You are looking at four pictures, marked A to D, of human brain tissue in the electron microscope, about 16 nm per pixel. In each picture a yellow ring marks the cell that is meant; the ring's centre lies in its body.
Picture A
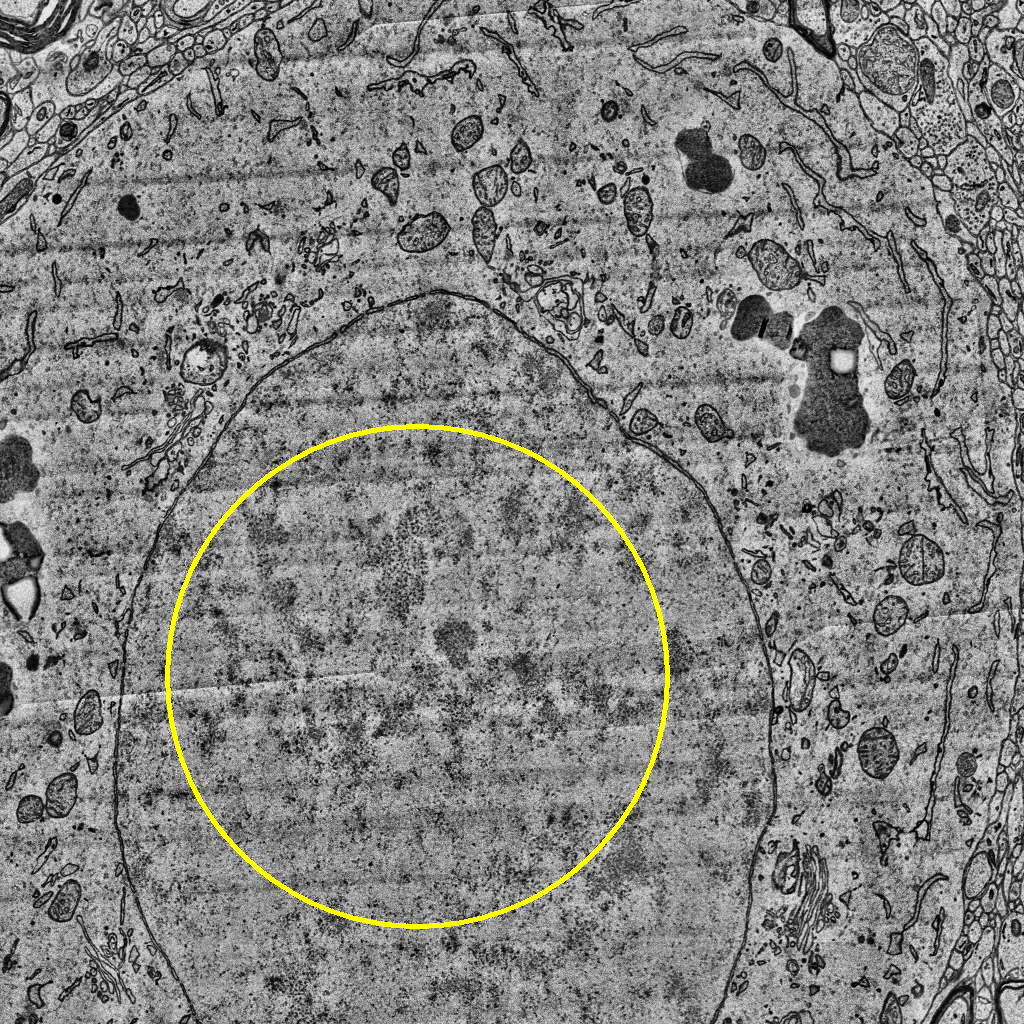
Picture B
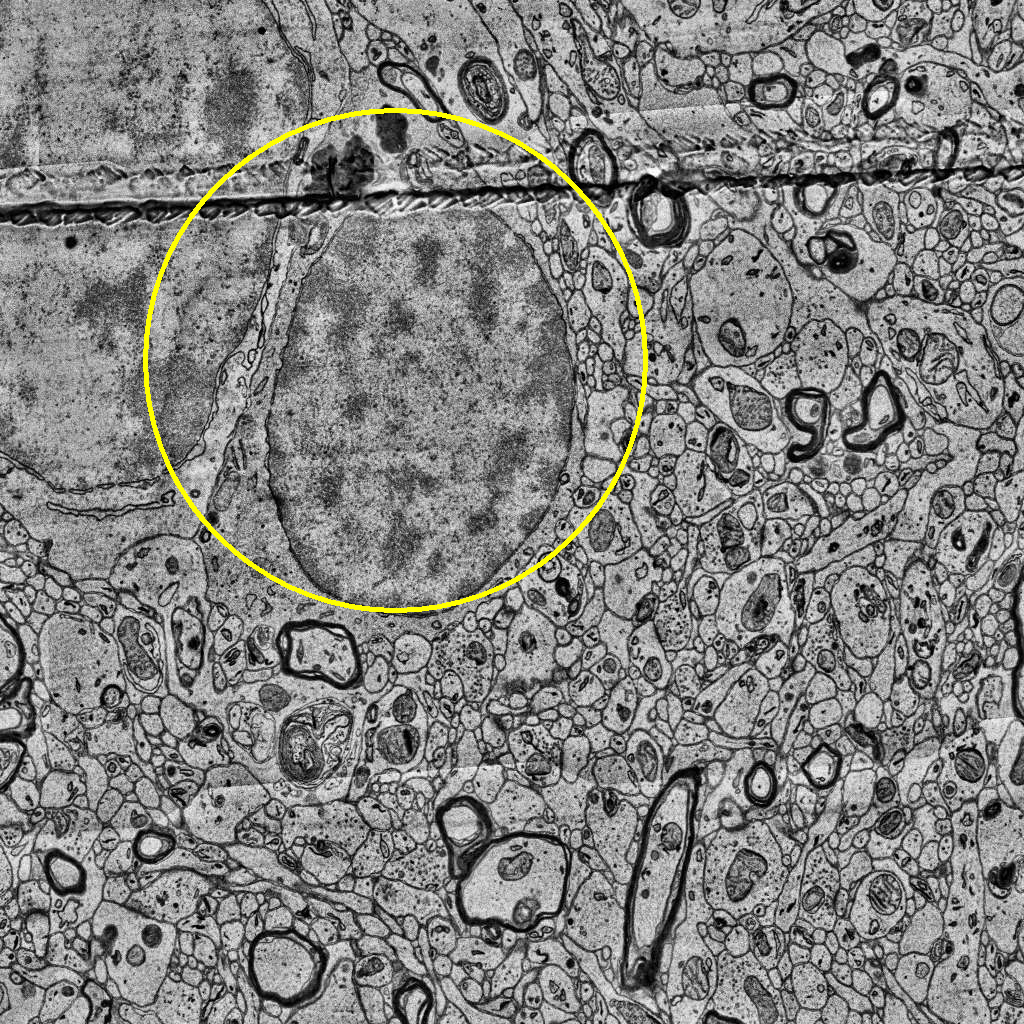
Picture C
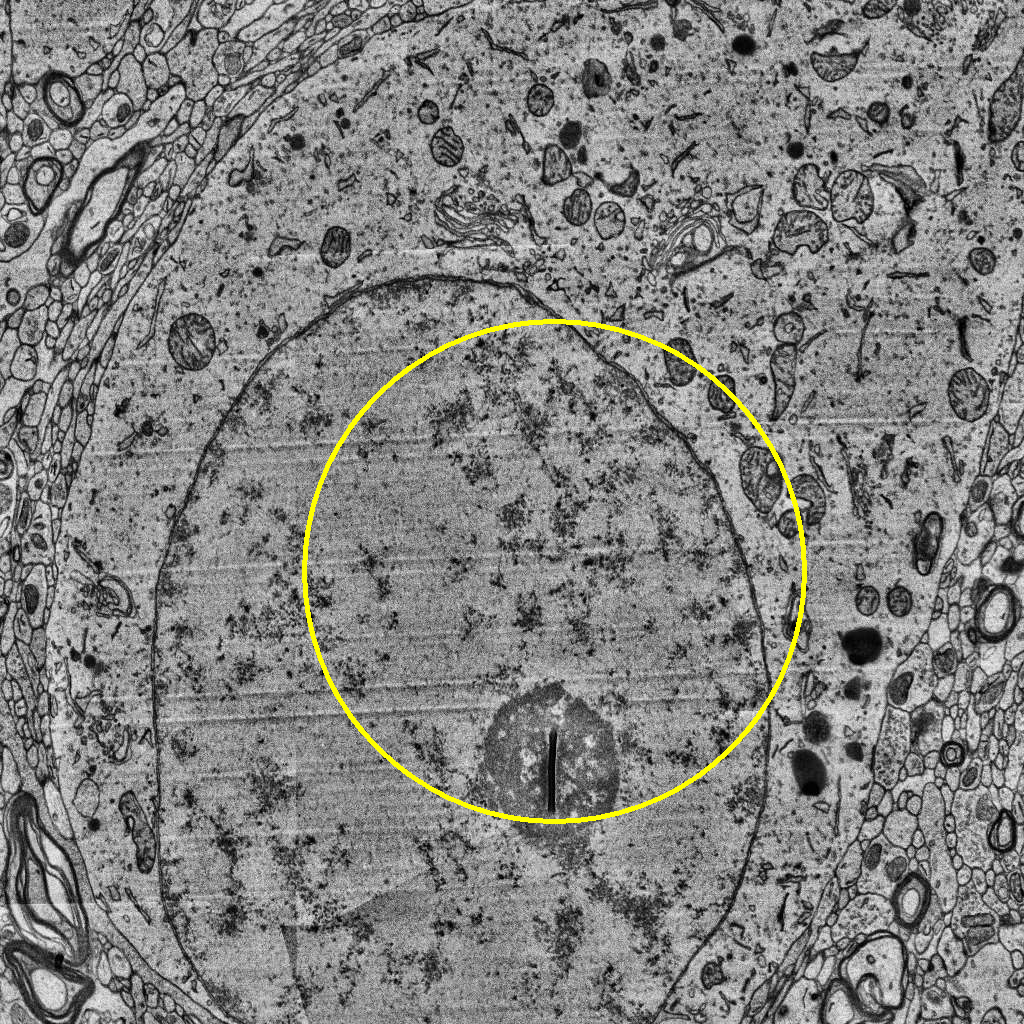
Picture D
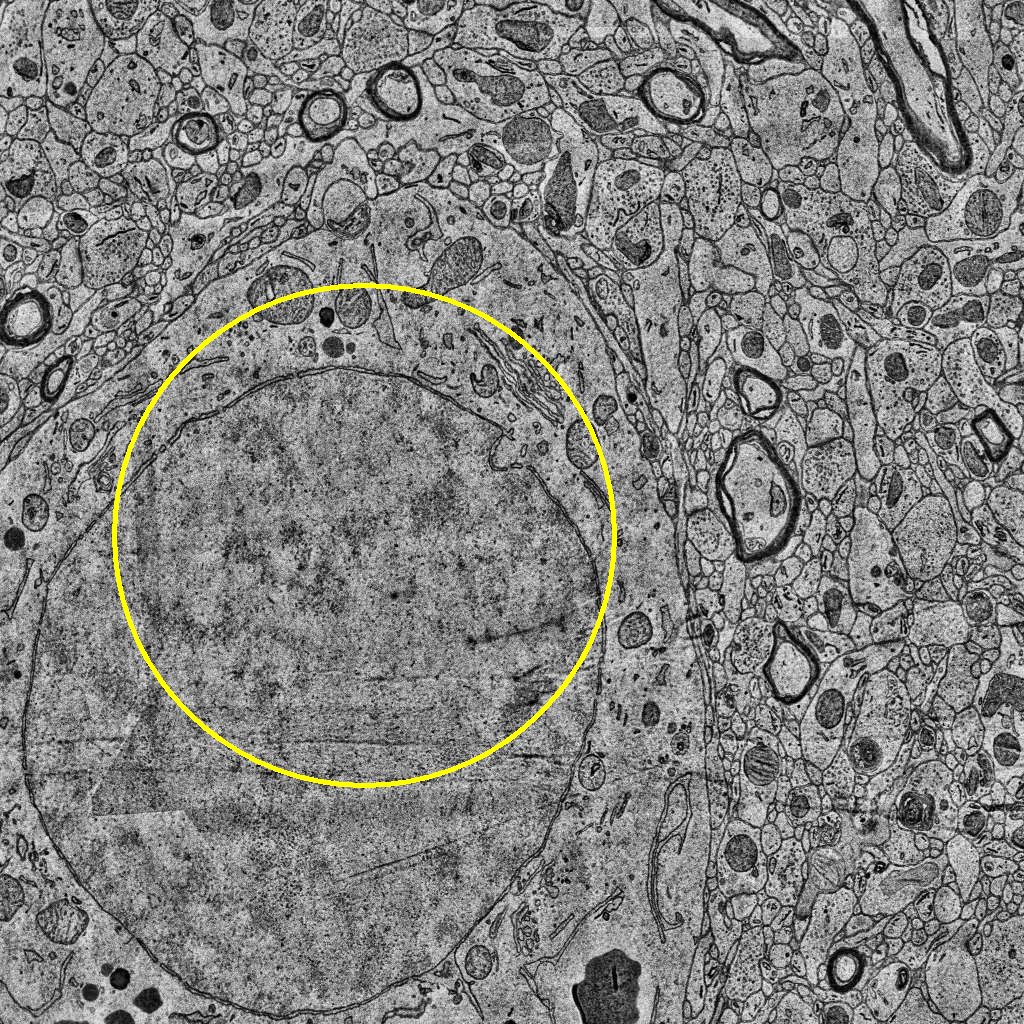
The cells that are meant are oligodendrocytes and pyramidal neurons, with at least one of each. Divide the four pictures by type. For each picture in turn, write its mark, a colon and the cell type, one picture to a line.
A: pyramidal neuron
B: oligodendrocyte
C: pyramidal neuron
D: pyramidal neuron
